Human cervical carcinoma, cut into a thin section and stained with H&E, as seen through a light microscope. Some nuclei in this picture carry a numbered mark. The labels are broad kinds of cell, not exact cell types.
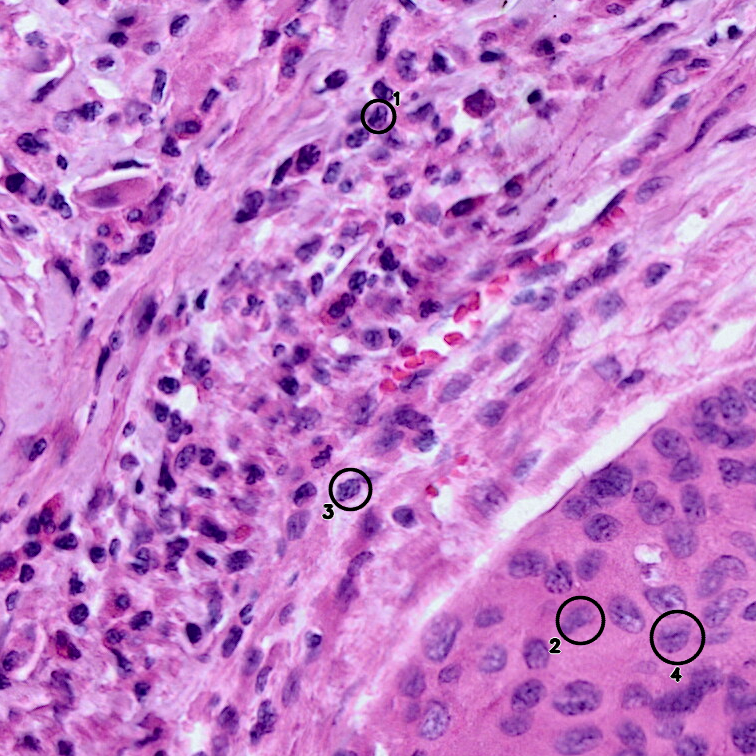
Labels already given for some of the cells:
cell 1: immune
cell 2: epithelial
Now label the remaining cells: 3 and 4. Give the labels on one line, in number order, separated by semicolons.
immune; epithelial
